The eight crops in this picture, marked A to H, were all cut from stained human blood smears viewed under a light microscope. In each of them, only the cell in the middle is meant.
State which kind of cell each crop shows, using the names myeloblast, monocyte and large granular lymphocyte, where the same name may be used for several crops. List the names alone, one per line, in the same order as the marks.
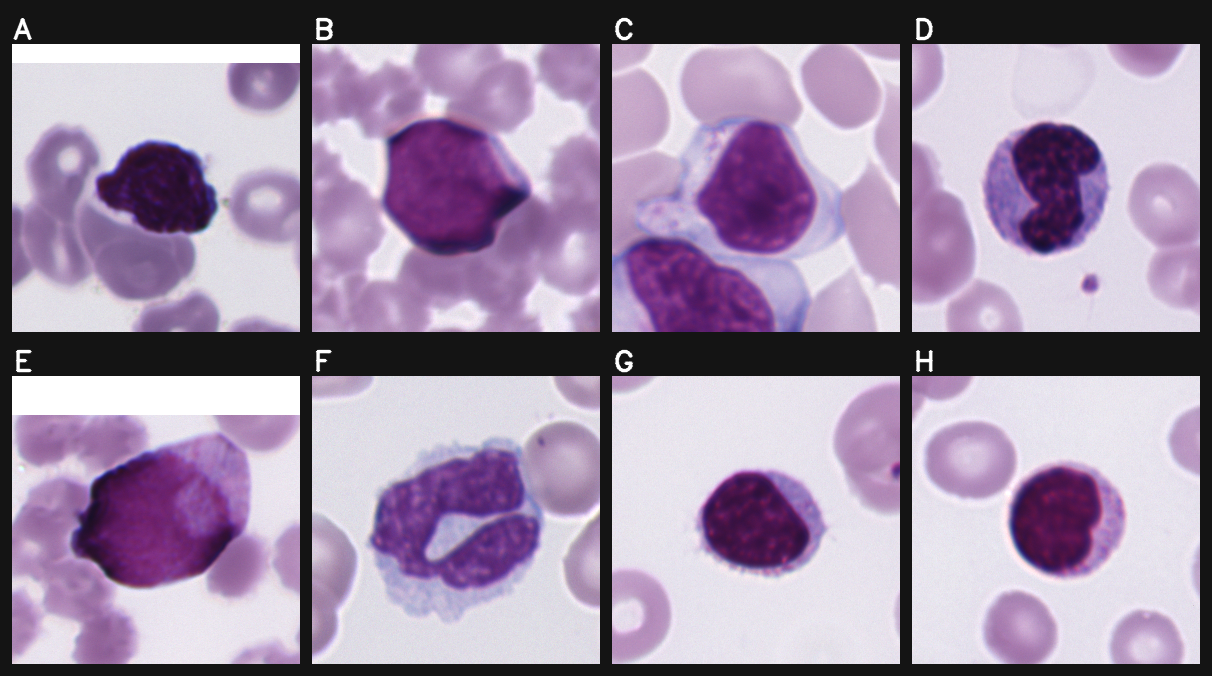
myeloblast
myeloblast
large granular lymphocyte
monocyte
myeloblast
monocyte
large granular lymphocyte
large granular lymphocyte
